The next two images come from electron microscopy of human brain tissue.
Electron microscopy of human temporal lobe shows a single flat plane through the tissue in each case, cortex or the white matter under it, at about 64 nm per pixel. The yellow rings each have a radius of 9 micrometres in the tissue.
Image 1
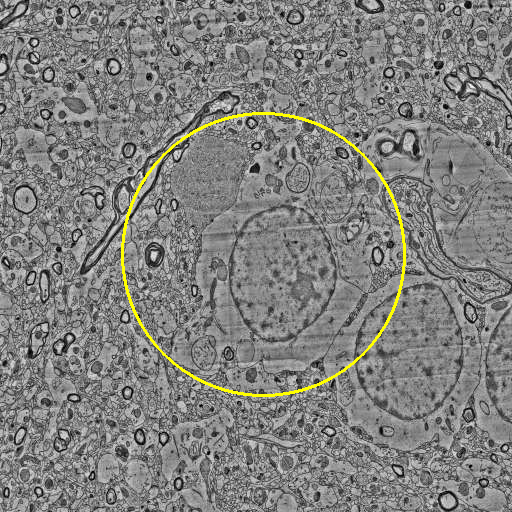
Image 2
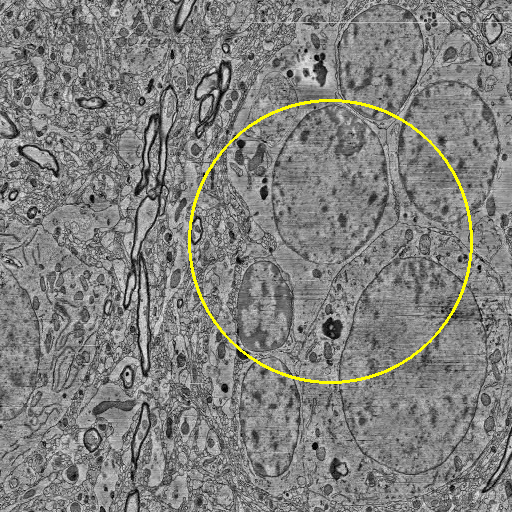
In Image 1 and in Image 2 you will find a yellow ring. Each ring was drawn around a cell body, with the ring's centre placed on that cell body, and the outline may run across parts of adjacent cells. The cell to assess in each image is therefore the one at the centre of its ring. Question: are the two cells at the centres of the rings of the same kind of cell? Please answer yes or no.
yes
